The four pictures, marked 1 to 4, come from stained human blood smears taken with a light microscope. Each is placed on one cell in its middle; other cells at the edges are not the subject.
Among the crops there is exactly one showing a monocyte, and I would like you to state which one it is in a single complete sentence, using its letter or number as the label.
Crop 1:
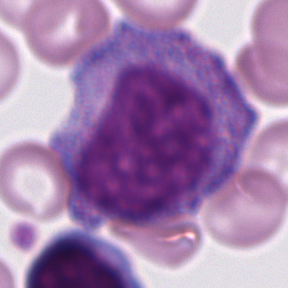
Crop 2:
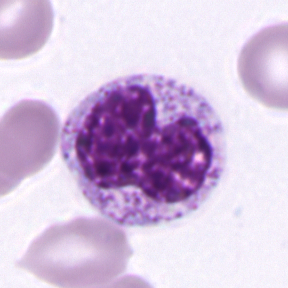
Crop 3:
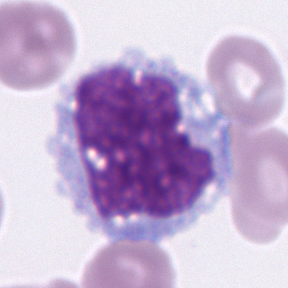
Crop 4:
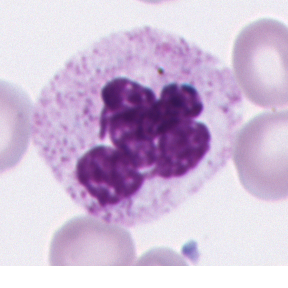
The correct choice is crop 3, the one showing a monocyte.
